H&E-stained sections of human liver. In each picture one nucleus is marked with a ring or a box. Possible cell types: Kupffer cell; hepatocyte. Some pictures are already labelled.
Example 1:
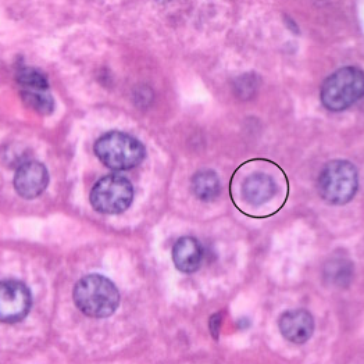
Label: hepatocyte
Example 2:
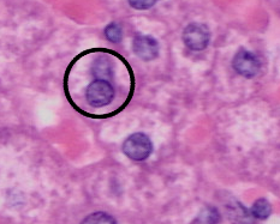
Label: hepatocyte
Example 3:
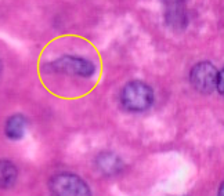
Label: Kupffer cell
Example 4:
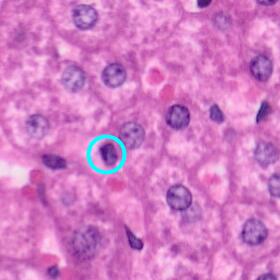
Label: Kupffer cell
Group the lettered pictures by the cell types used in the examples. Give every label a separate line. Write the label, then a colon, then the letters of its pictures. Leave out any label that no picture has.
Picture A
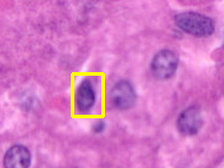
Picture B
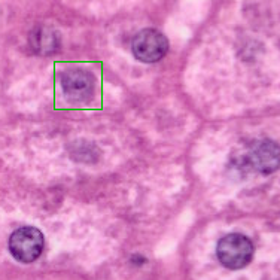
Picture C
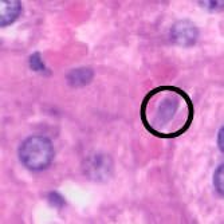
Kupffer cell: A, C
hepatocyte: B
